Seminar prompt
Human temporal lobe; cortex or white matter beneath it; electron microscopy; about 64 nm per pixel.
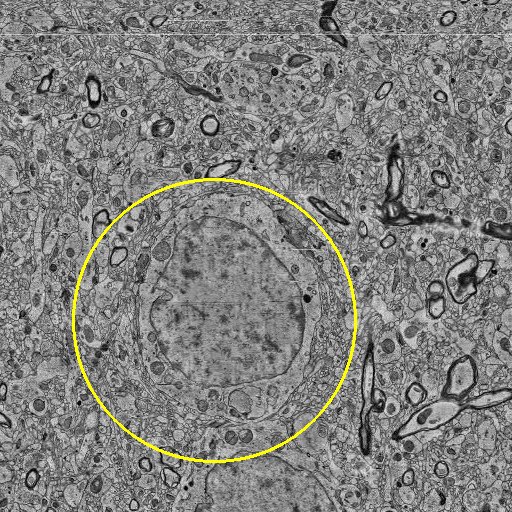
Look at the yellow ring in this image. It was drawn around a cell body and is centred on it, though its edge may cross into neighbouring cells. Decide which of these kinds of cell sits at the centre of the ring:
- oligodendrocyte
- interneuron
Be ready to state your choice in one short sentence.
The kind of cell at the ring's centre is an interneuron.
